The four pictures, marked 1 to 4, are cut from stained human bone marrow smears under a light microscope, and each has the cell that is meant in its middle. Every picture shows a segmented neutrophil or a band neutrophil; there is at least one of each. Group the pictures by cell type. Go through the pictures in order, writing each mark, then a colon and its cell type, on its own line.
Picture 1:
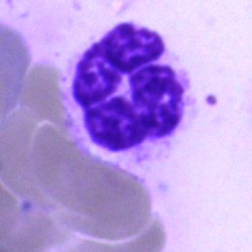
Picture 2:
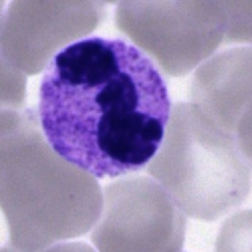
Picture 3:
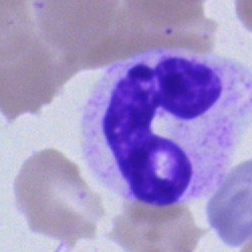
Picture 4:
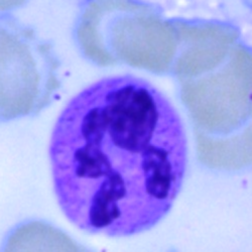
1: segmented neutrophil
2: segmented neutrophil
3: band neutrophil
4: segmented neutrophil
